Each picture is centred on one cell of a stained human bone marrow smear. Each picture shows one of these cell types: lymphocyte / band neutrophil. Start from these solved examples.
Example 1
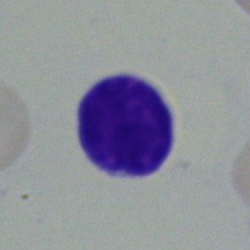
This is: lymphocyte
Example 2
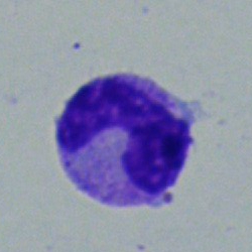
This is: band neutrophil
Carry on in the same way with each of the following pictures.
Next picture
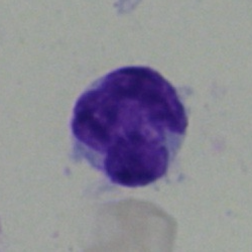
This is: lymphocyte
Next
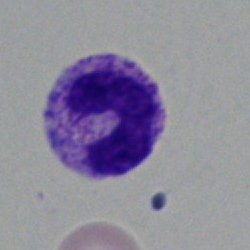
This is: band neutrophil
